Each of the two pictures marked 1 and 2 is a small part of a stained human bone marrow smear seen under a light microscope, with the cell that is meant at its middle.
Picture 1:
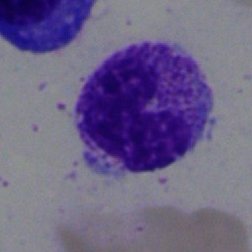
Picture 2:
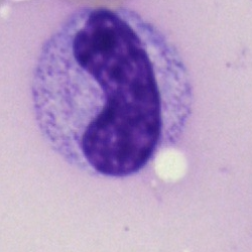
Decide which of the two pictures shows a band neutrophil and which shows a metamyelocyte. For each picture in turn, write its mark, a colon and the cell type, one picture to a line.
1: metamyelocyte
2: band neutrophil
